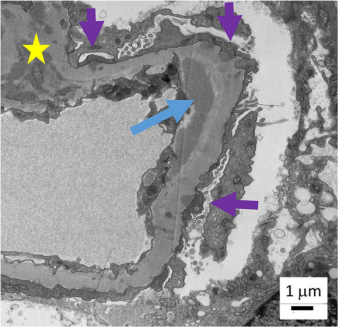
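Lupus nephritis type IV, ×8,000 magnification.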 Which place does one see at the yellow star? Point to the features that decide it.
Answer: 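Mesangium. The yellow star lies in a dense, grey cellular and matrix region at the upper left. This region sits at the junction where capillary walls meet, outside the lumen.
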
